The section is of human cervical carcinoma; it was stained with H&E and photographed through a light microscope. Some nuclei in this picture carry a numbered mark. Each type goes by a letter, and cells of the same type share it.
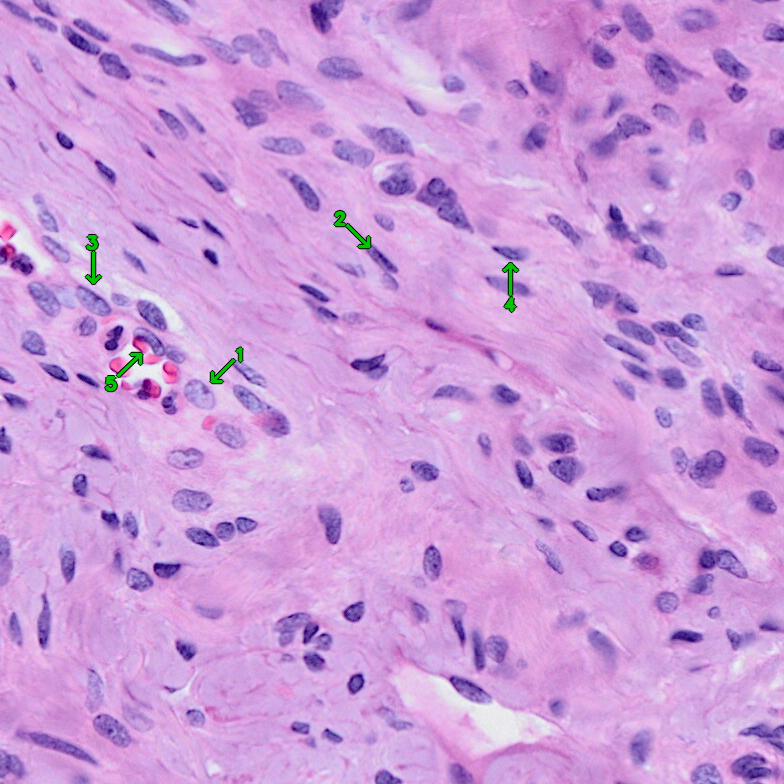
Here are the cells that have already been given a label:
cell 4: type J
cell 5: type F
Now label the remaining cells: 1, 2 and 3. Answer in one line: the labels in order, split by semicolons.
type F; type J; type F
